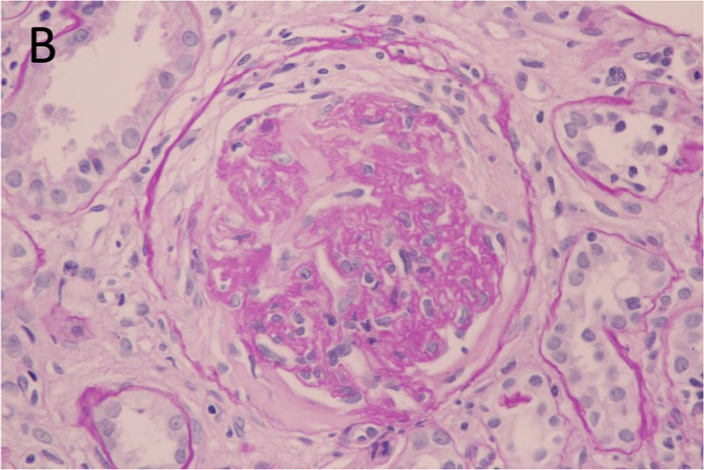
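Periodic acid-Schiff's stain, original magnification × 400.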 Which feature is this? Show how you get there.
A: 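Fibrocellular crescent. Between the tuft and the outer capsule lies a layer of spindle-shaped cells within pale fibrous matrix. This layer forms concentric bands around part of the tuft.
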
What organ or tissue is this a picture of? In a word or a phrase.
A: Glomerulus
